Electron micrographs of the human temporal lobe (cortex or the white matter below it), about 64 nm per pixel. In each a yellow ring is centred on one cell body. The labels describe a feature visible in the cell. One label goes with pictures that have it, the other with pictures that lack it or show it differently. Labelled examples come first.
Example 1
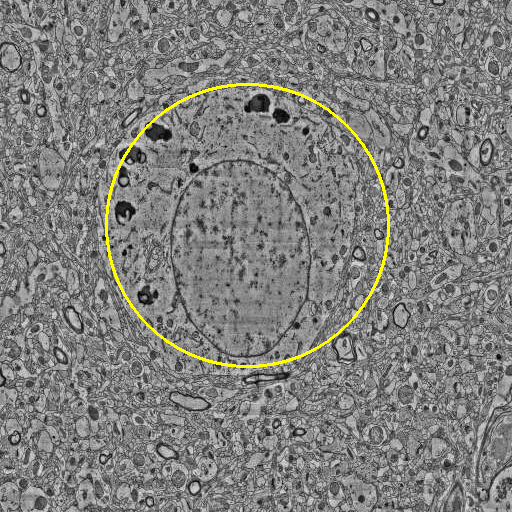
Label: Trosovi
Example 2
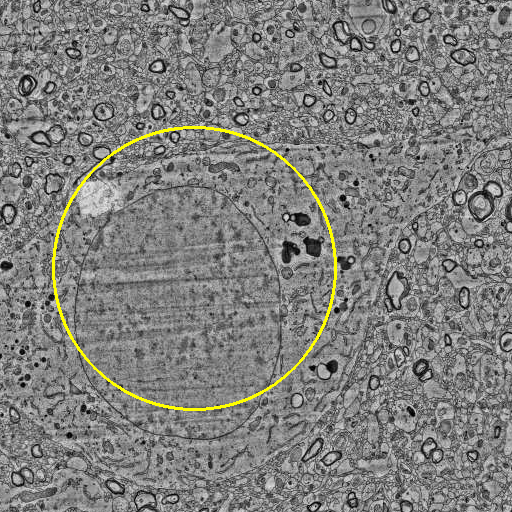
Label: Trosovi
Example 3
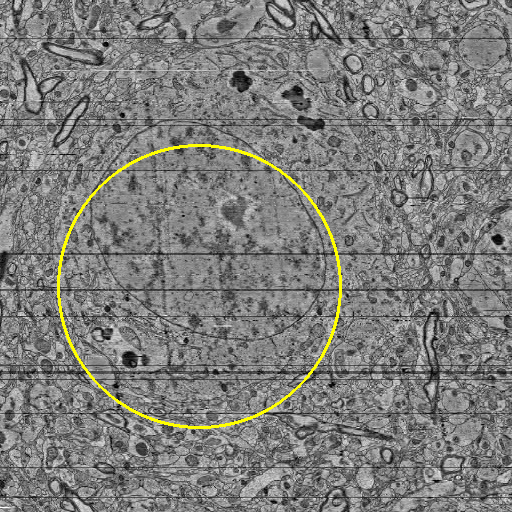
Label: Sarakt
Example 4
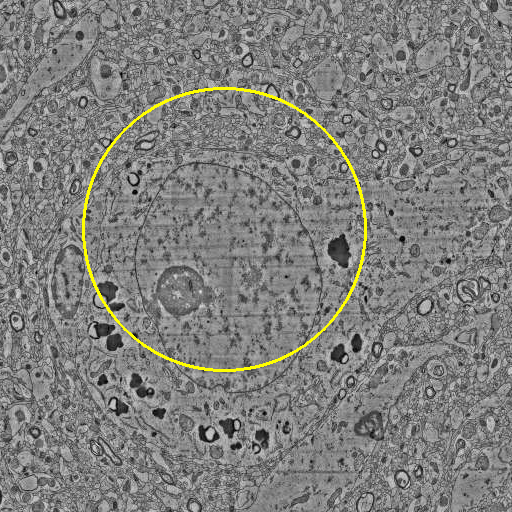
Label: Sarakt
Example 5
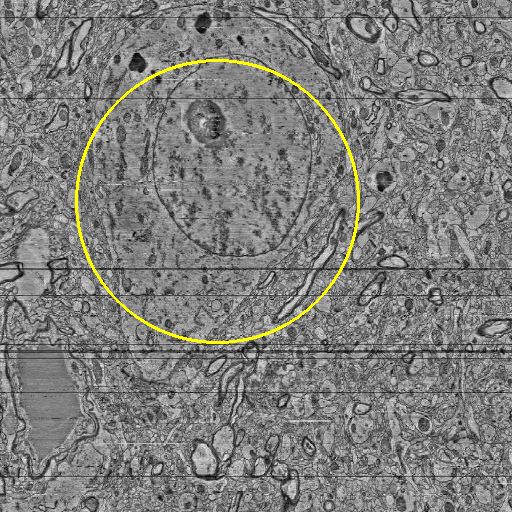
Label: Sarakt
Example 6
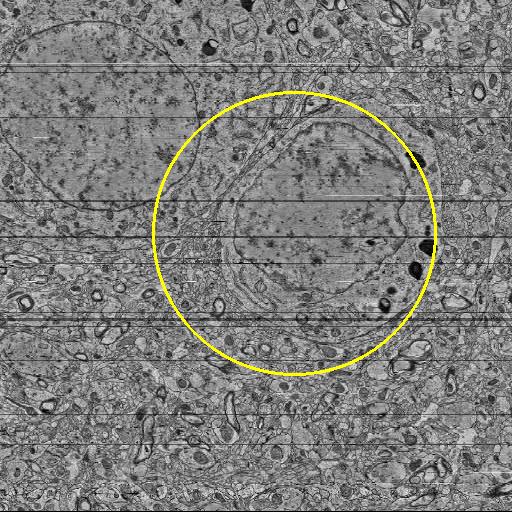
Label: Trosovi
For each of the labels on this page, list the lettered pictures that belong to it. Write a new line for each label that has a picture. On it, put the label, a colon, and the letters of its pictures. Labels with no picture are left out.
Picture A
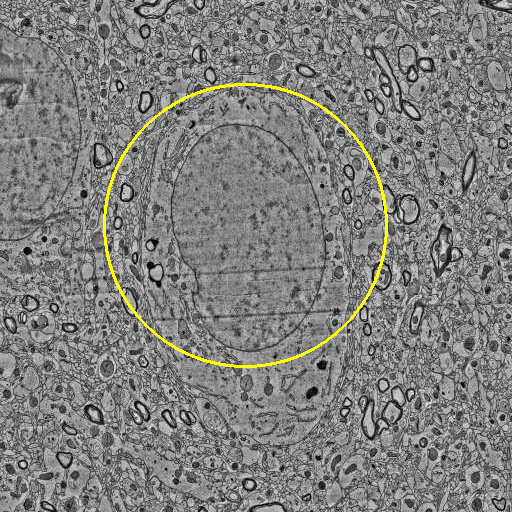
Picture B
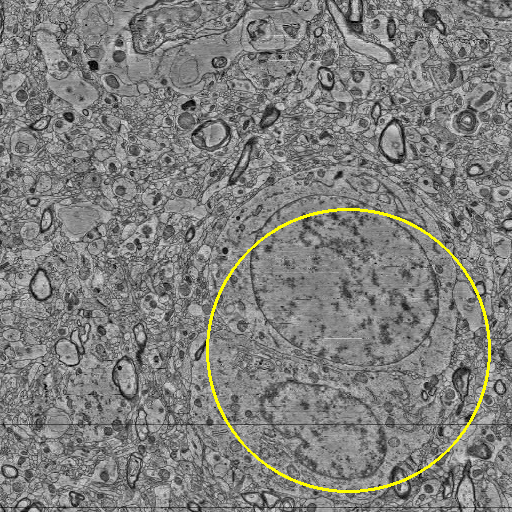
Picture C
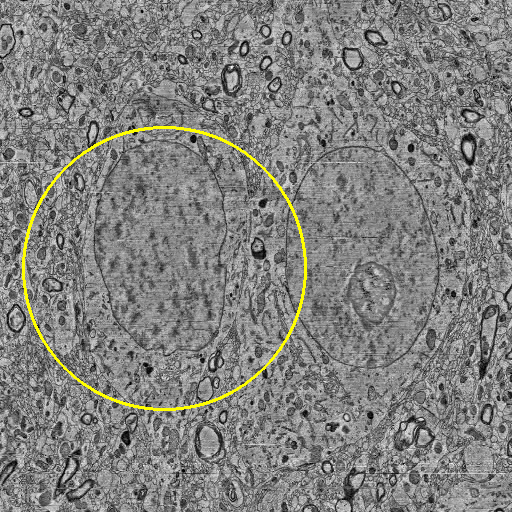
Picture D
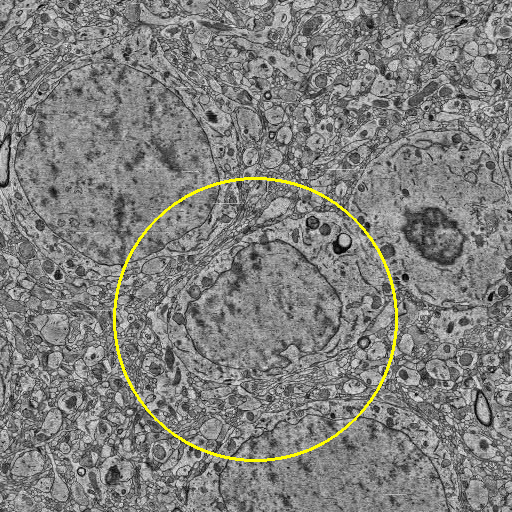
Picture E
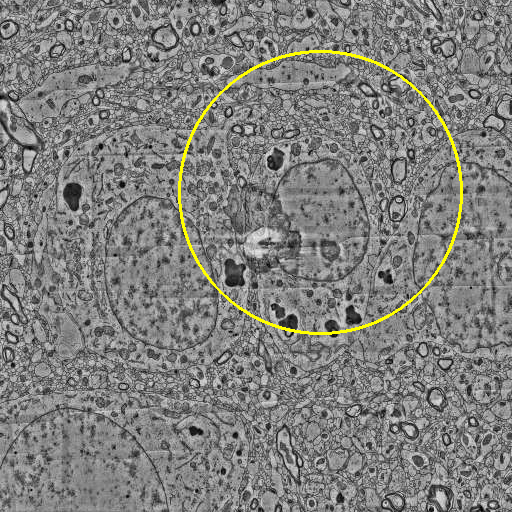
Trosovi: A, B, C, D
Sarakt: E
